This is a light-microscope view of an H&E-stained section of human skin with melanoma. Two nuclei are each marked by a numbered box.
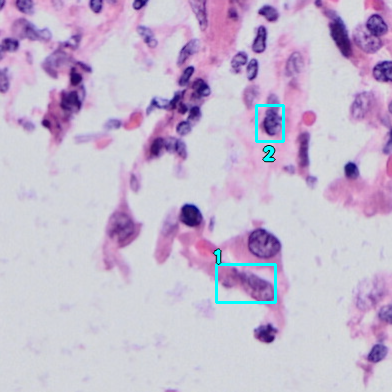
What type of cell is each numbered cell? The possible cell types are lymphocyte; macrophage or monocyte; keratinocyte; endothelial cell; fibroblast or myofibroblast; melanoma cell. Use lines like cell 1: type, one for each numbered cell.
cell 1: melanoma cell
cell 2: lymphocyte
